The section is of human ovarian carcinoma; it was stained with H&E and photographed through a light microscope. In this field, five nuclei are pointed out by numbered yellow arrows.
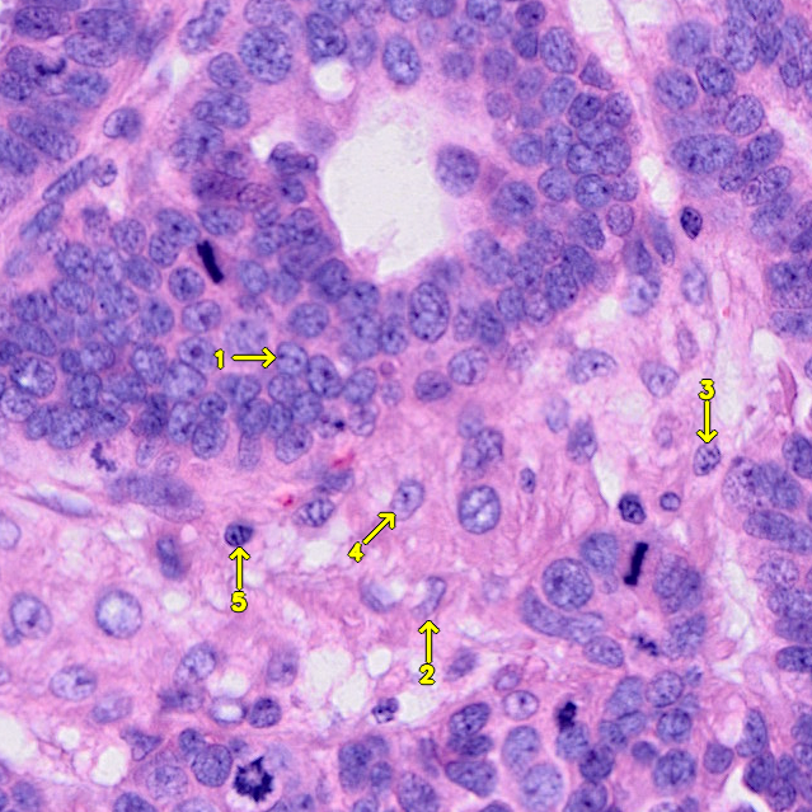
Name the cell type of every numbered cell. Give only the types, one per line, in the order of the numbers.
carcinoma cell
fibroblast
macrophage or monocyte
fibroblast
lymphocyte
